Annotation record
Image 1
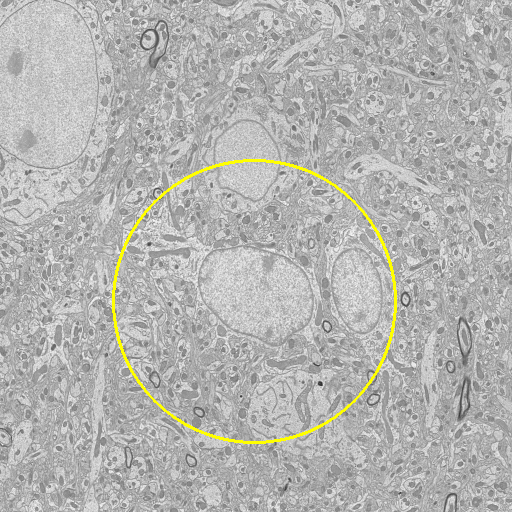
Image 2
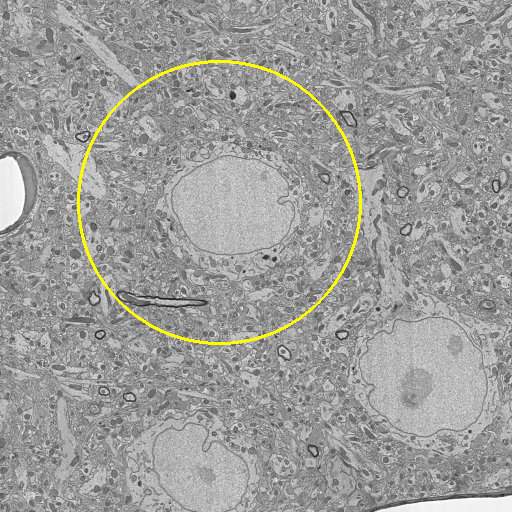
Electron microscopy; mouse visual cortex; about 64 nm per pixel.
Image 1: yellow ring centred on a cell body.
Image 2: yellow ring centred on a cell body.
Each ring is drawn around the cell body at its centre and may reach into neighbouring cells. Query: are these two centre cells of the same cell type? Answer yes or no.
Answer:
no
